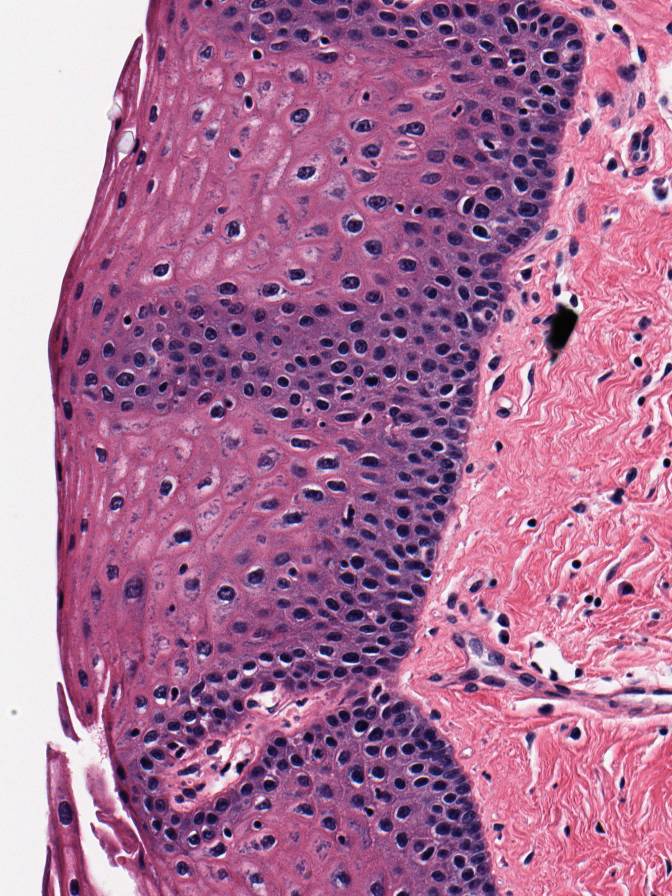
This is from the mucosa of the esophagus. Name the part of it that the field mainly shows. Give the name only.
stratified squamous nonkeratinized epithelium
